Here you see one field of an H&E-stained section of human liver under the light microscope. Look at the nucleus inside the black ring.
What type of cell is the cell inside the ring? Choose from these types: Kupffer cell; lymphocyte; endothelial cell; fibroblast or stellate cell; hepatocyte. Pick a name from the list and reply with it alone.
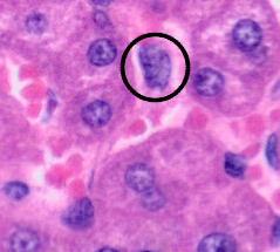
Kupffer cell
